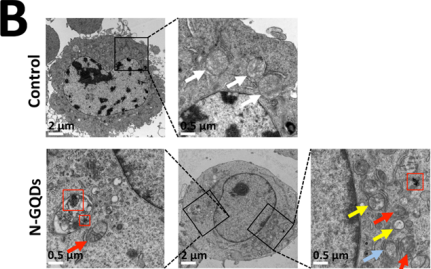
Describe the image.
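Transmission electron micrographs of cultured cells show whole cells with large nuclei containing dark clumped chromatin, and enlarged views of their cytoplasm. In the upper cells the cytoplasm holds oval mitochondria with intact double membranes and regular cristae. In the lower cells several mitochondria are small and dense, others are pale with disrupted cristae, and dark electron-dense aggregates lie within membrane-bound vesicles in the cytoplasm.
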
